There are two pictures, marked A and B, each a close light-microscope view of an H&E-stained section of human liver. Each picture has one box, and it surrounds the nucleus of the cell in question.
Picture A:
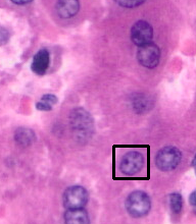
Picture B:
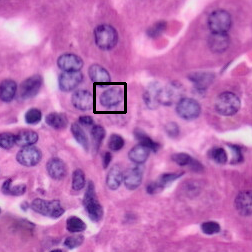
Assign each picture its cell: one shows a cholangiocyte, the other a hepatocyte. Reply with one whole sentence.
In picture A the cell is a hepatocyte; in picture B, a cholangiocyte.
